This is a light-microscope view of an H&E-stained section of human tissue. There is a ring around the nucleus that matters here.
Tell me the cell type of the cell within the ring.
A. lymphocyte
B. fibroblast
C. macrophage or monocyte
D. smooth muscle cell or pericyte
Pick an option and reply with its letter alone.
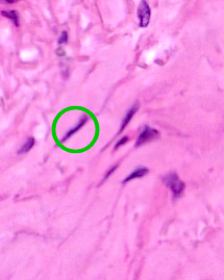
B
